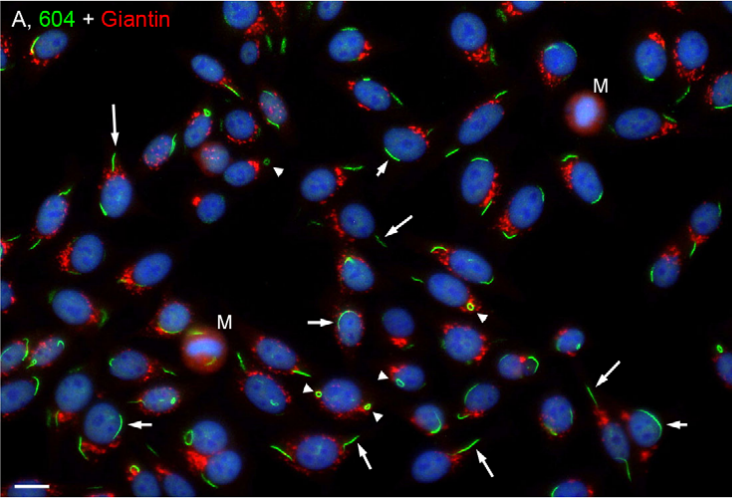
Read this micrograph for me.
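Many cells carry thin green rods in the cytoplasm, either lying close along the nucleus or jutting away from it. Other cells carry one or two small green rings.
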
